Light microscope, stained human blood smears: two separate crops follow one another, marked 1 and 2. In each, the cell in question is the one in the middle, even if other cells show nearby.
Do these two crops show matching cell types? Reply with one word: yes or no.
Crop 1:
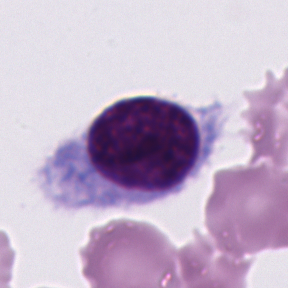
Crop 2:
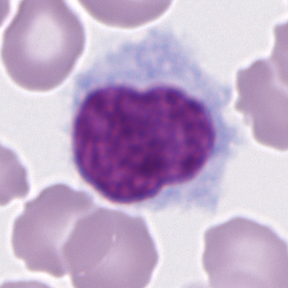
yes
